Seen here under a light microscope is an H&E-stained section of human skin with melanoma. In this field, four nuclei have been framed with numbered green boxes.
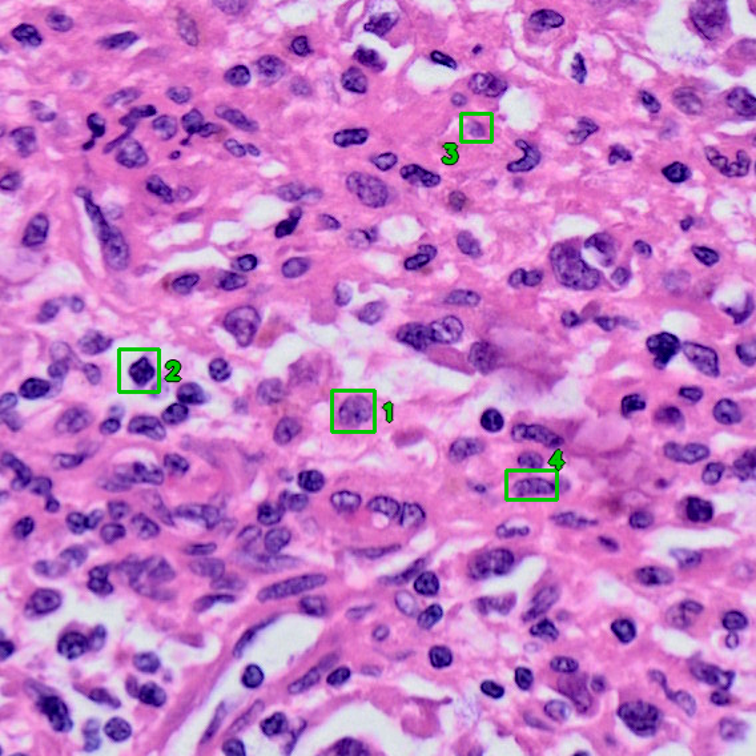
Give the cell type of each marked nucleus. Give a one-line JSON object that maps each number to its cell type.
{"1": "macrophage or monocyte", "2": "lymphocyte", "3": "macrophage or monocyte", "4": "macrophage or monocyte"}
